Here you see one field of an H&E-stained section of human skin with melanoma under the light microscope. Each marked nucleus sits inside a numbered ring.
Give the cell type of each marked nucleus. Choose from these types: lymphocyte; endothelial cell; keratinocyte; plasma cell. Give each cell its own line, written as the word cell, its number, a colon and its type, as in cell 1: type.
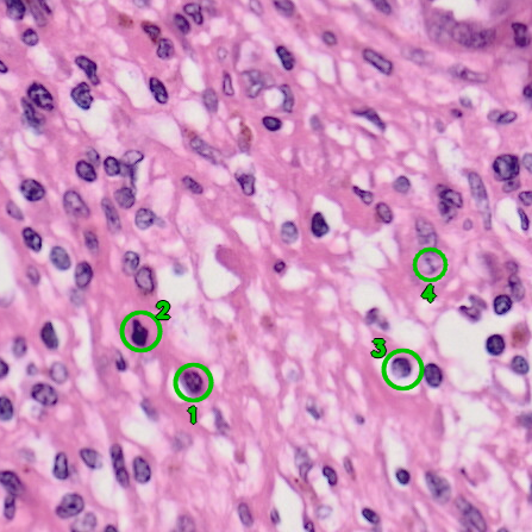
cell 1: plasma cell
cell 2: plasma cell
cell 3: lymphocyte
cell 4: endothelial cell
